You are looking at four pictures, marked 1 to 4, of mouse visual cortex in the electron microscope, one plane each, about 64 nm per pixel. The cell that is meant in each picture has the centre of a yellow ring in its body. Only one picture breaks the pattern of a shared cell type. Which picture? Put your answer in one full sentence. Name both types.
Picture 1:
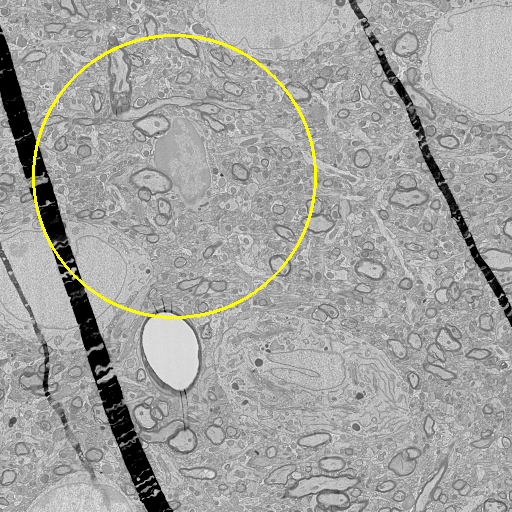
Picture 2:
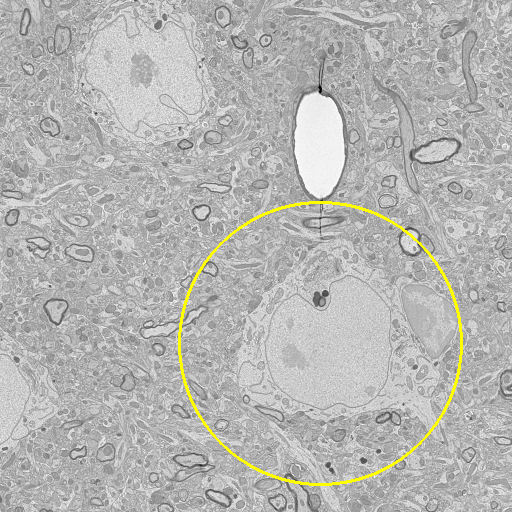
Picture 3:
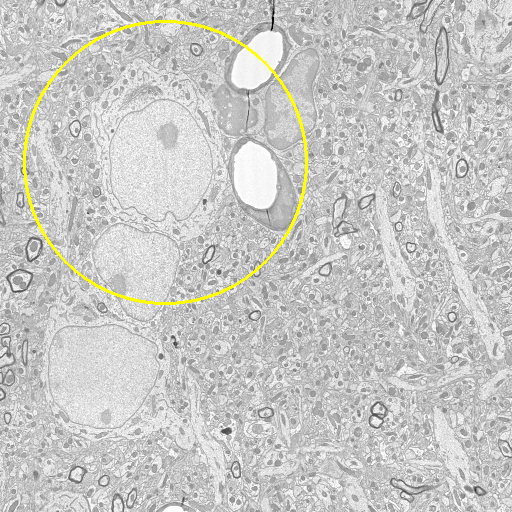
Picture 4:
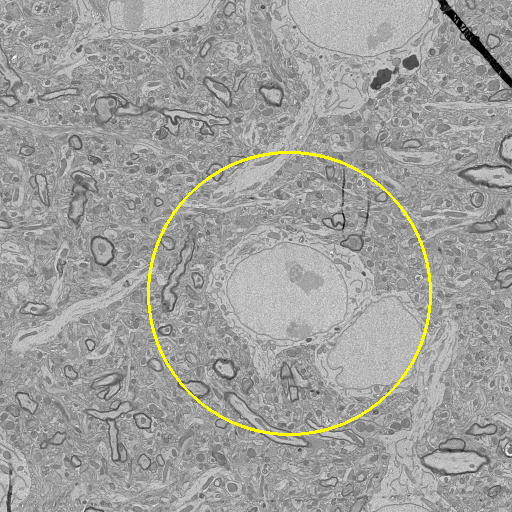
The different one is picture 1; it shows a microglial cell, whereas all the others show excitatory neurons.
